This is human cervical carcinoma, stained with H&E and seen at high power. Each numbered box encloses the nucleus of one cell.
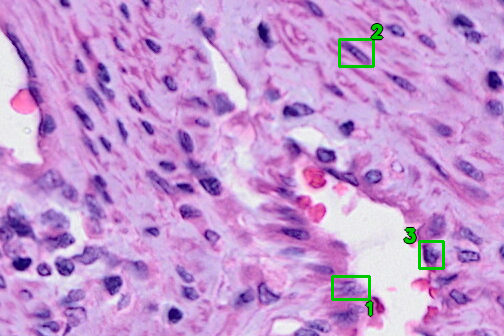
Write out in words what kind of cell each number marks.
Cells 1 and 3 are endothelial cells. Cell 2 is a smooth muscle cell.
